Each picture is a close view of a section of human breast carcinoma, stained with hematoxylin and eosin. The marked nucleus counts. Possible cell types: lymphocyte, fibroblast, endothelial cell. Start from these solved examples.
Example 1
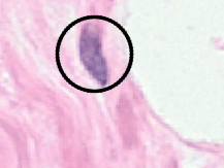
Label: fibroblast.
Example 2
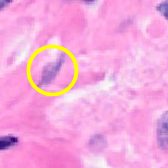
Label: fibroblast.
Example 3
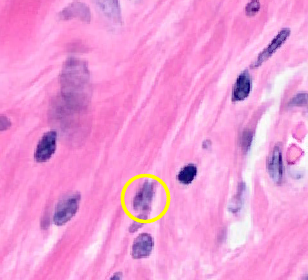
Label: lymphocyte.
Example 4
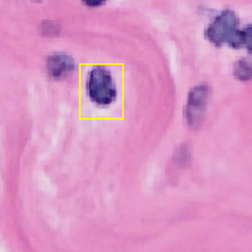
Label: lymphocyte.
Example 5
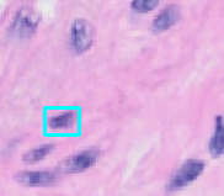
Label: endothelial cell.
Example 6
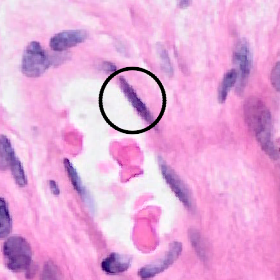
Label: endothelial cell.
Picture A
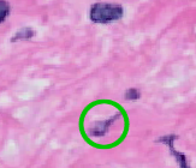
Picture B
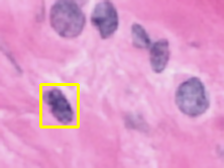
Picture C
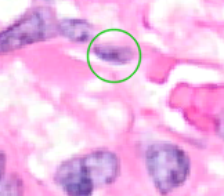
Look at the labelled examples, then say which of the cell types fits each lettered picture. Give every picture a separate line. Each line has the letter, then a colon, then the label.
A: fibroblast.
B: lymphocyte.
C: endothelial cell.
